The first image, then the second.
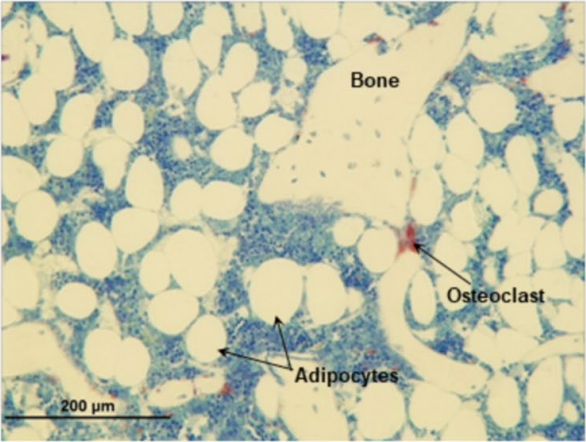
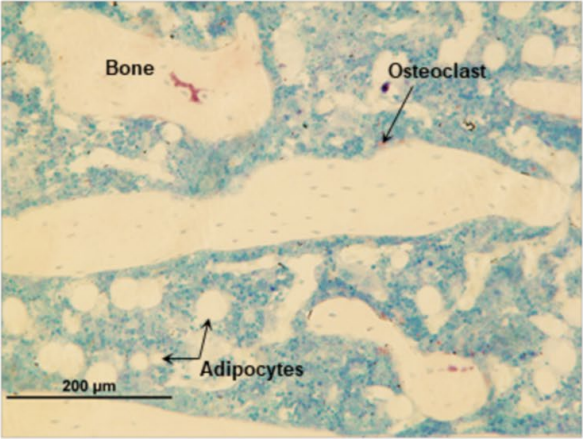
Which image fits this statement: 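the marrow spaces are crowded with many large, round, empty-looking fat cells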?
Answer: the first image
